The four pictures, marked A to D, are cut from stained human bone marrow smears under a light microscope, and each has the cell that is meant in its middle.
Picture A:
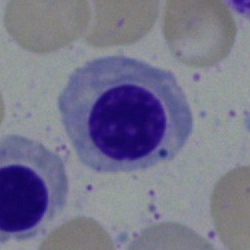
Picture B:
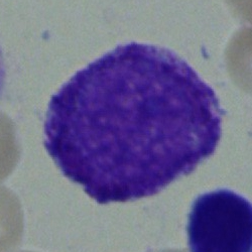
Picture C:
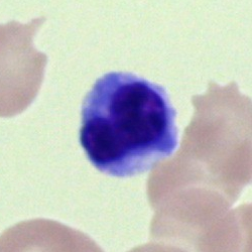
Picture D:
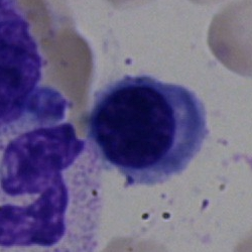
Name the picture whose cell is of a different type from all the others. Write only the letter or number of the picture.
B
